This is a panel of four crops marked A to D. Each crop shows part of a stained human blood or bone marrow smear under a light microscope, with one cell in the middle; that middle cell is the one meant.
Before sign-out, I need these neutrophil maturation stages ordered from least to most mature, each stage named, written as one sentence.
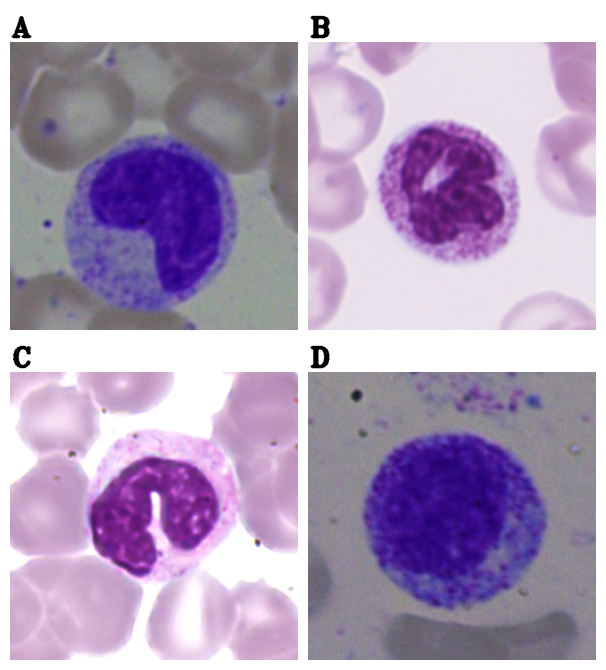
Ranked by maturation stage, earliest first, the crops read crop D (a myelocyte), crop A (a metamyelocyte), crop C (a band neutrophil) and crop B (a segmented neutrophil).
